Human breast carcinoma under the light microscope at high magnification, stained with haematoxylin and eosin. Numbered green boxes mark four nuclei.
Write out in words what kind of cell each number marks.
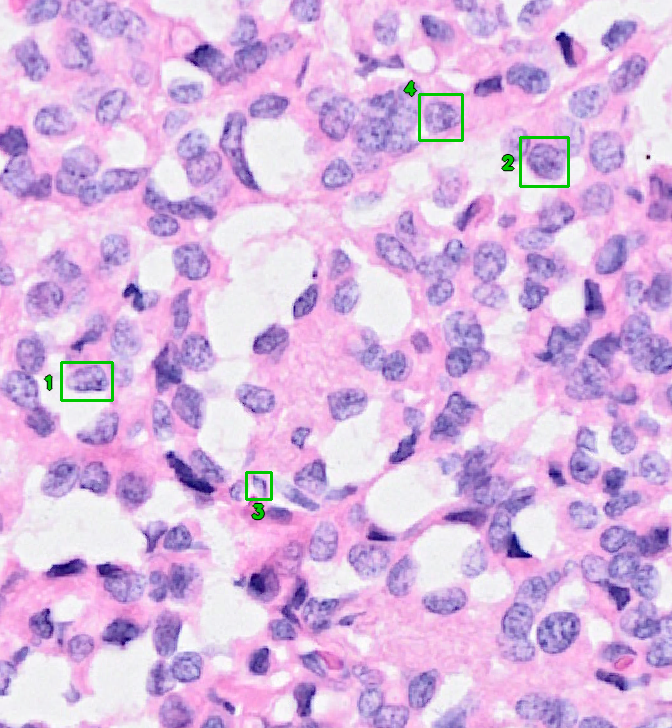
Cell 1 is a carcinoma cell, cell 2 is a carcinoma cell, cell 3 is an endothelial cell and cell 4 is a carcinoma cell.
